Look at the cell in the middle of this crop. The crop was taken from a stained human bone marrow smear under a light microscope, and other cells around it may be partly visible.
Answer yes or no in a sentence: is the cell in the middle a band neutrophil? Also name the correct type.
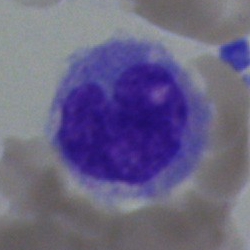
No, the central cell does not represent a band neutrophil, but a monocyte.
